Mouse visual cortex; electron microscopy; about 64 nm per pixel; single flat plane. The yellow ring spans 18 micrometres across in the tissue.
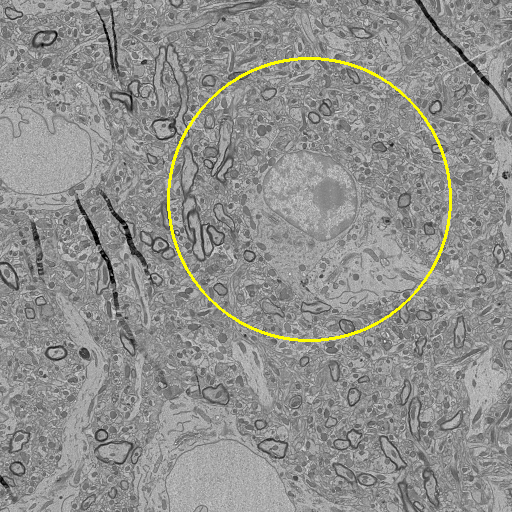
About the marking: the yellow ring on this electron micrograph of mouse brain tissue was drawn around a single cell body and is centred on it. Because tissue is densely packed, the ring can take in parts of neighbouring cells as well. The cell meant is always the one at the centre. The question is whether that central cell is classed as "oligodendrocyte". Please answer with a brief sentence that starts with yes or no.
Yes, the central cell is classed that way.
